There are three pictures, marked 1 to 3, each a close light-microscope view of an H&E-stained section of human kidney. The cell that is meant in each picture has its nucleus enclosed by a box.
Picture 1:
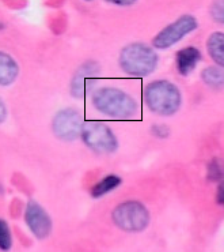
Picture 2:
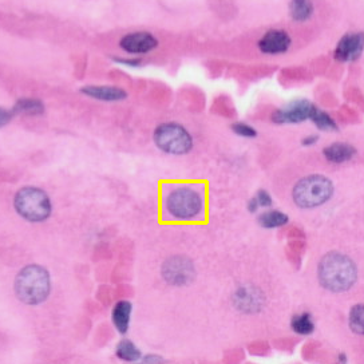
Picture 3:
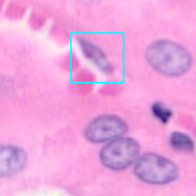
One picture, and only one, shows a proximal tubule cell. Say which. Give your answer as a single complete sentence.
The cell in picture 2 is the proximal tubule cell.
